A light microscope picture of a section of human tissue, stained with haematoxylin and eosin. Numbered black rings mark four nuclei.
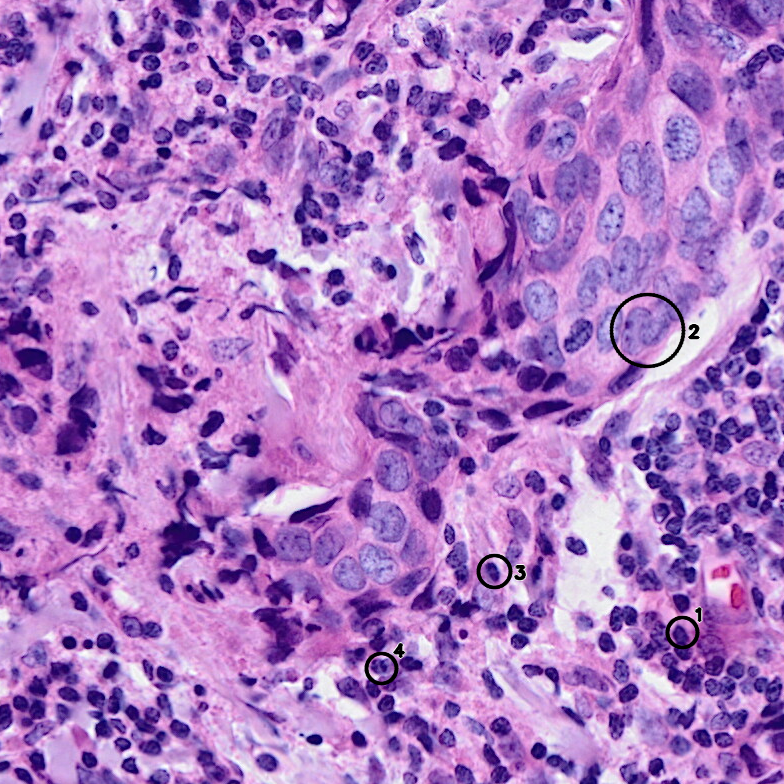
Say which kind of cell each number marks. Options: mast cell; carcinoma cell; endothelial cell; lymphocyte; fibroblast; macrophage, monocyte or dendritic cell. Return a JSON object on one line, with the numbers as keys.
{"1": "lymphocyte", "2": "carcinoma cell", "3": "lymphocyte", "4": "lymphocyte"}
